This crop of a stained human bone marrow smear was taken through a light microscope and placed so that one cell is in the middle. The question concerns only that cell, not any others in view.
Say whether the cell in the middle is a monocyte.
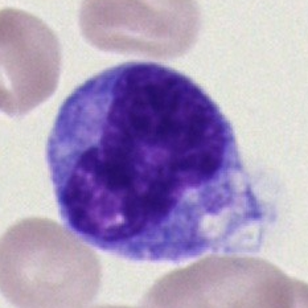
yes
